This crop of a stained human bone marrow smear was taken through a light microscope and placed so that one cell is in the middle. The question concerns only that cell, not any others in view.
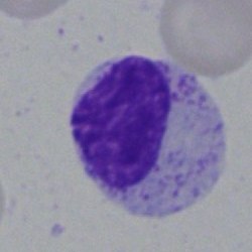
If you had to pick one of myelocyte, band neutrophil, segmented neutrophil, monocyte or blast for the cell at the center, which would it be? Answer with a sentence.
Standing at the centre of this crop is a myelocyte.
